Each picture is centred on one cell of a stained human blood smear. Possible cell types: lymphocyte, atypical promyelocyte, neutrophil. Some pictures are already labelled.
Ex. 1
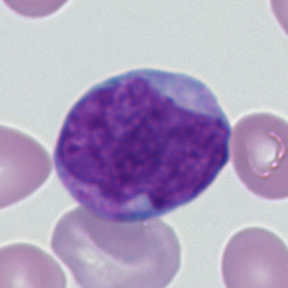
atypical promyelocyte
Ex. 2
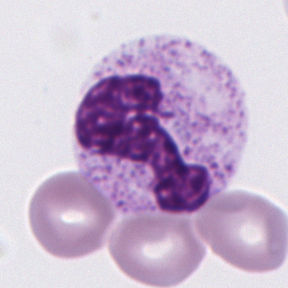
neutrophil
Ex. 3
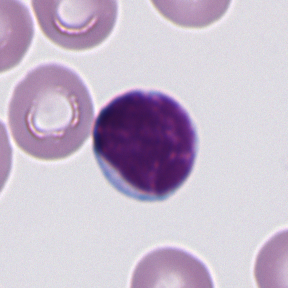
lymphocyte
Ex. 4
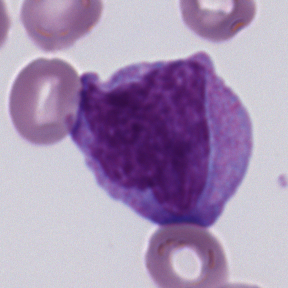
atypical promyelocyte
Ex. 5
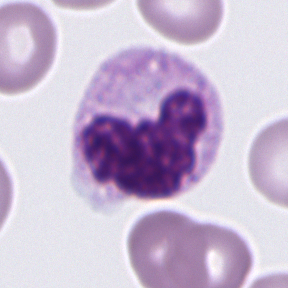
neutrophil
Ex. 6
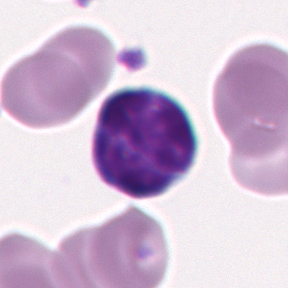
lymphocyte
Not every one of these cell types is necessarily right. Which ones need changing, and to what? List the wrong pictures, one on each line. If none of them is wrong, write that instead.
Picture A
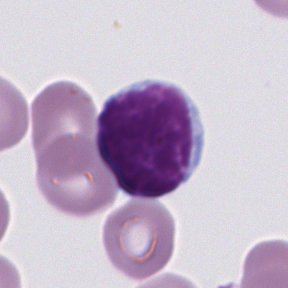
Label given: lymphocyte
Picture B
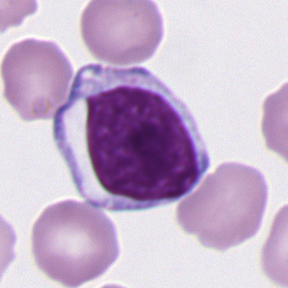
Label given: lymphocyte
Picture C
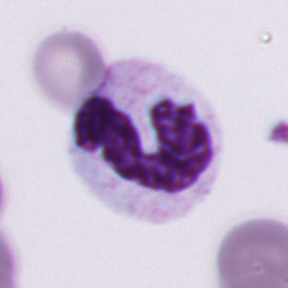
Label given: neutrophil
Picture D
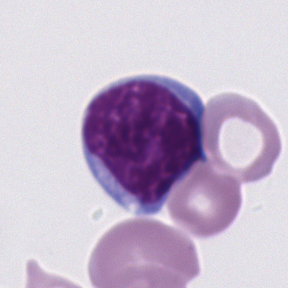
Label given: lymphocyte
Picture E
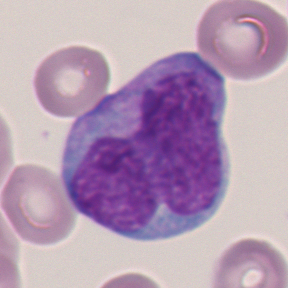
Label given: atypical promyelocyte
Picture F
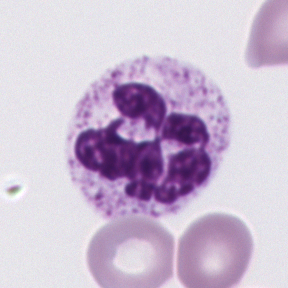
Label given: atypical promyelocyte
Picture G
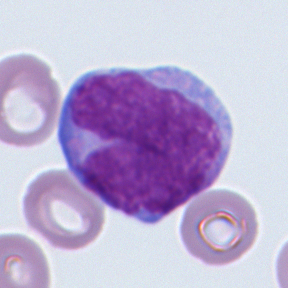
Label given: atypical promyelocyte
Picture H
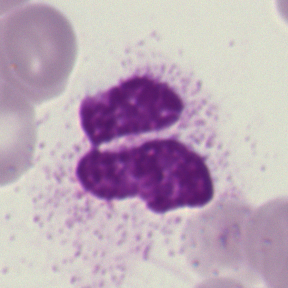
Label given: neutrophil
F is labelled atypical promyelocyte; correct label: neutrophil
